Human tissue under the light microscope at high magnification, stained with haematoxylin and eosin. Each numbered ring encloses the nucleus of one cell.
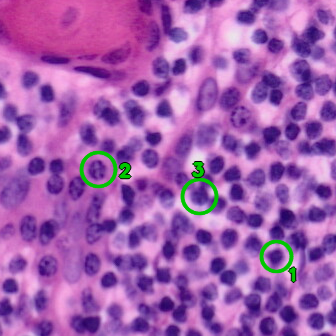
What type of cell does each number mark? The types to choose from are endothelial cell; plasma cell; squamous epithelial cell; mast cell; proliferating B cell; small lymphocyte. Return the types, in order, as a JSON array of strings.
["small lymphocyte", "plasma cell", "small lymphocyte"]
